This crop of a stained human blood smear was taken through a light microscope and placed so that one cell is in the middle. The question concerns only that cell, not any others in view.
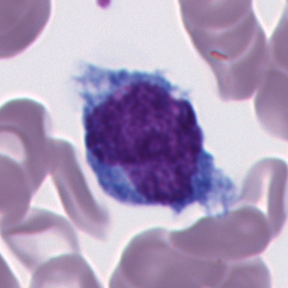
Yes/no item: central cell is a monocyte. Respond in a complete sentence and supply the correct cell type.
Yes, the centered cell in this field is a monocyte.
